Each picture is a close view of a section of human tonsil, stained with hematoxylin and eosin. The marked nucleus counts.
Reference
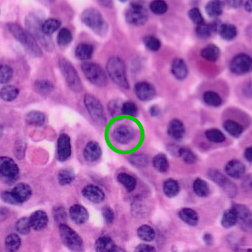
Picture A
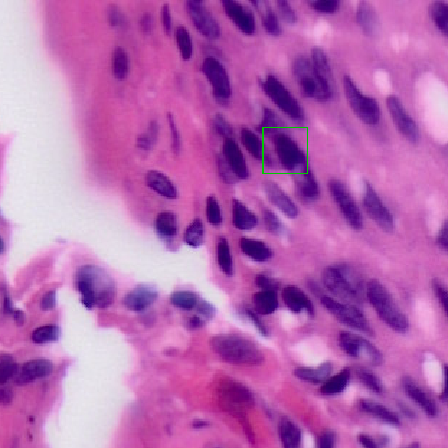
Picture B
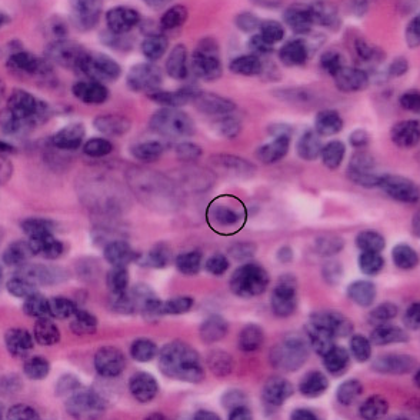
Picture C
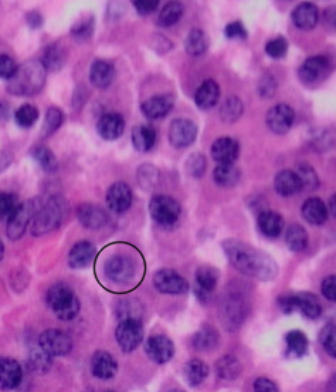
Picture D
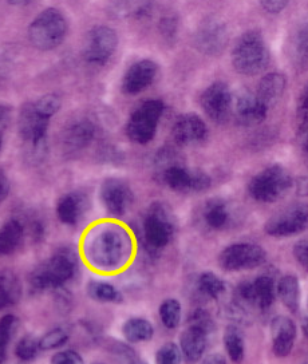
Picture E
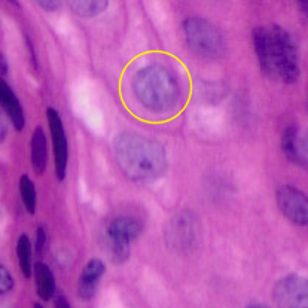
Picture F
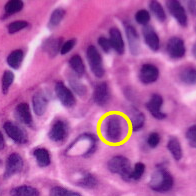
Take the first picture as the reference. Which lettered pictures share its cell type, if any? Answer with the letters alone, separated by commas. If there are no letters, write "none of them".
C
